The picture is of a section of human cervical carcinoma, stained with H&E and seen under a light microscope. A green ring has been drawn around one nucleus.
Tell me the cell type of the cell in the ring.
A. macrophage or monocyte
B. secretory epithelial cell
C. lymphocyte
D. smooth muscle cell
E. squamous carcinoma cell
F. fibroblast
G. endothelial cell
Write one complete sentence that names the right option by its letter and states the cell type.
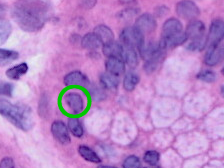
Here the right answer is B, with the cell in the ring being a secretory epithelial cell.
